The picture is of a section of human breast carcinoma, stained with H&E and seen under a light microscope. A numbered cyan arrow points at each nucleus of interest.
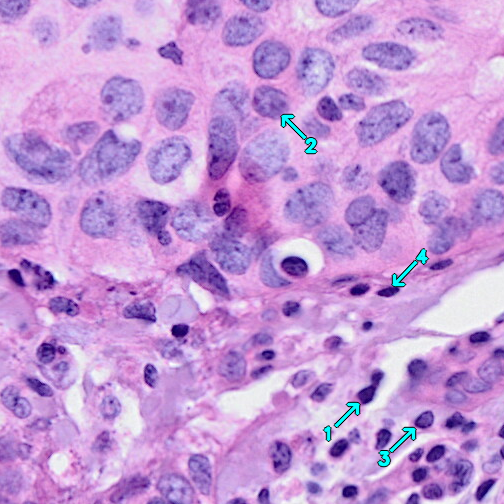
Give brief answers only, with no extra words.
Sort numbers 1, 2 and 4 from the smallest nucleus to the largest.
4, 1, 2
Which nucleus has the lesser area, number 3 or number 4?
4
